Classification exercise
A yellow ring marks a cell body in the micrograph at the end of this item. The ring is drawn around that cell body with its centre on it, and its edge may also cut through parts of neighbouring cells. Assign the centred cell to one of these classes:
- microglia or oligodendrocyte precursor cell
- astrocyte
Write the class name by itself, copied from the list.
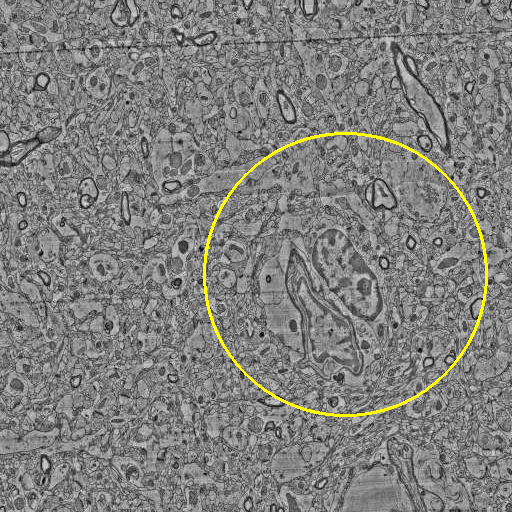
microglia or oligodendrocyte precursor cell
